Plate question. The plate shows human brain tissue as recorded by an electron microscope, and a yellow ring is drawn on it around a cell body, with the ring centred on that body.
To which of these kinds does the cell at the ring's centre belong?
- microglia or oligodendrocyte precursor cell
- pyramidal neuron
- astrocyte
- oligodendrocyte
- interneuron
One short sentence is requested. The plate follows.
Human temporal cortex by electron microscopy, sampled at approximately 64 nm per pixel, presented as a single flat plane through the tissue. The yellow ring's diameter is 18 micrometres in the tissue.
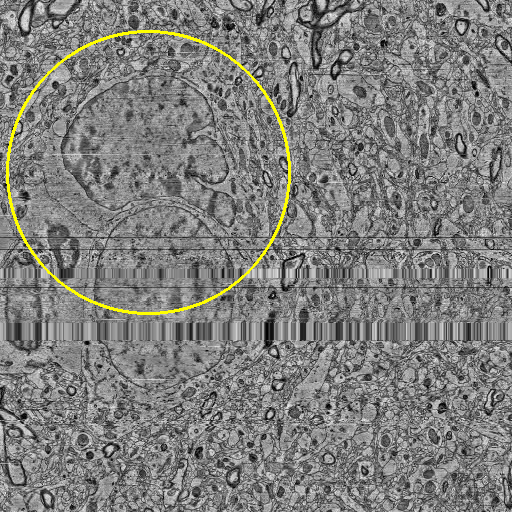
The cell at the ring's centre is a microglial cell or oligodendrocyte precursor cell.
